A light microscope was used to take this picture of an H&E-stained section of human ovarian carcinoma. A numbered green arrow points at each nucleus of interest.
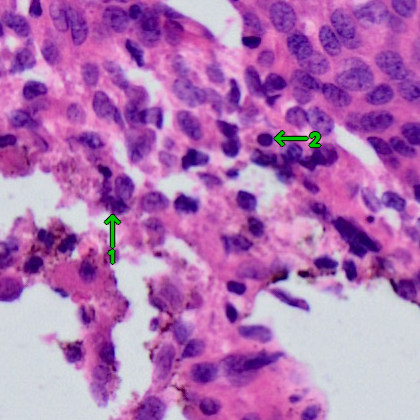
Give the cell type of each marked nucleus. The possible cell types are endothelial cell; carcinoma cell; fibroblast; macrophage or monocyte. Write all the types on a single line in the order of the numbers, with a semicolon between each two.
carcinoma cell; macrophage or monocyte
